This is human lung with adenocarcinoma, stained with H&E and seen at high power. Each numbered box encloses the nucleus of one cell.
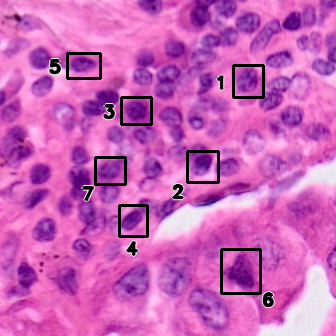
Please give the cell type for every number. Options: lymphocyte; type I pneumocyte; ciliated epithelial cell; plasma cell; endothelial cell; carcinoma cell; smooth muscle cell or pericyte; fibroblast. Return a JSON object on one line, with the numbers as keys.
{"1": "plasma cell", "2": "lymphocyte", "3": "plasma cell", "4": "lymphocyte", "5": "plasma cell", "6": "carcinoma cell", "7": "plasma cell"}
